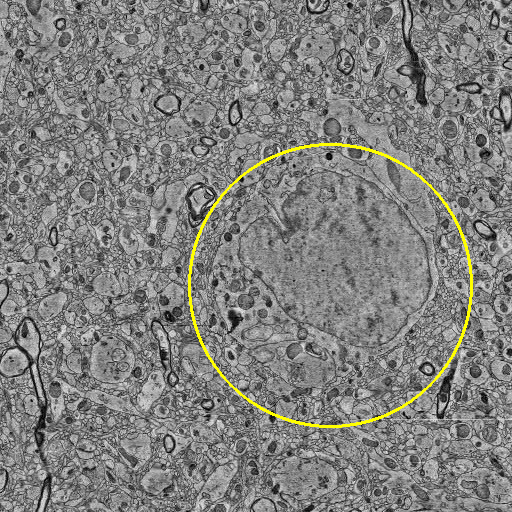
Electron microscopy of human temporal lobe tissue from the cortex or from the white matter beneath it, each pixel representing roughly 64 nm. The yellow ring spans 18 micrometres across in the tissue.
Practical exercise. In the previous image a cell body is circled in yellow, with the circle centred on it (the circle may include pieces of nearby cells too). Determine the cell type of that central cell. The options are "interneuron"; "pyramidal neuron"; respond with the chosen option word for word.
interneuron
